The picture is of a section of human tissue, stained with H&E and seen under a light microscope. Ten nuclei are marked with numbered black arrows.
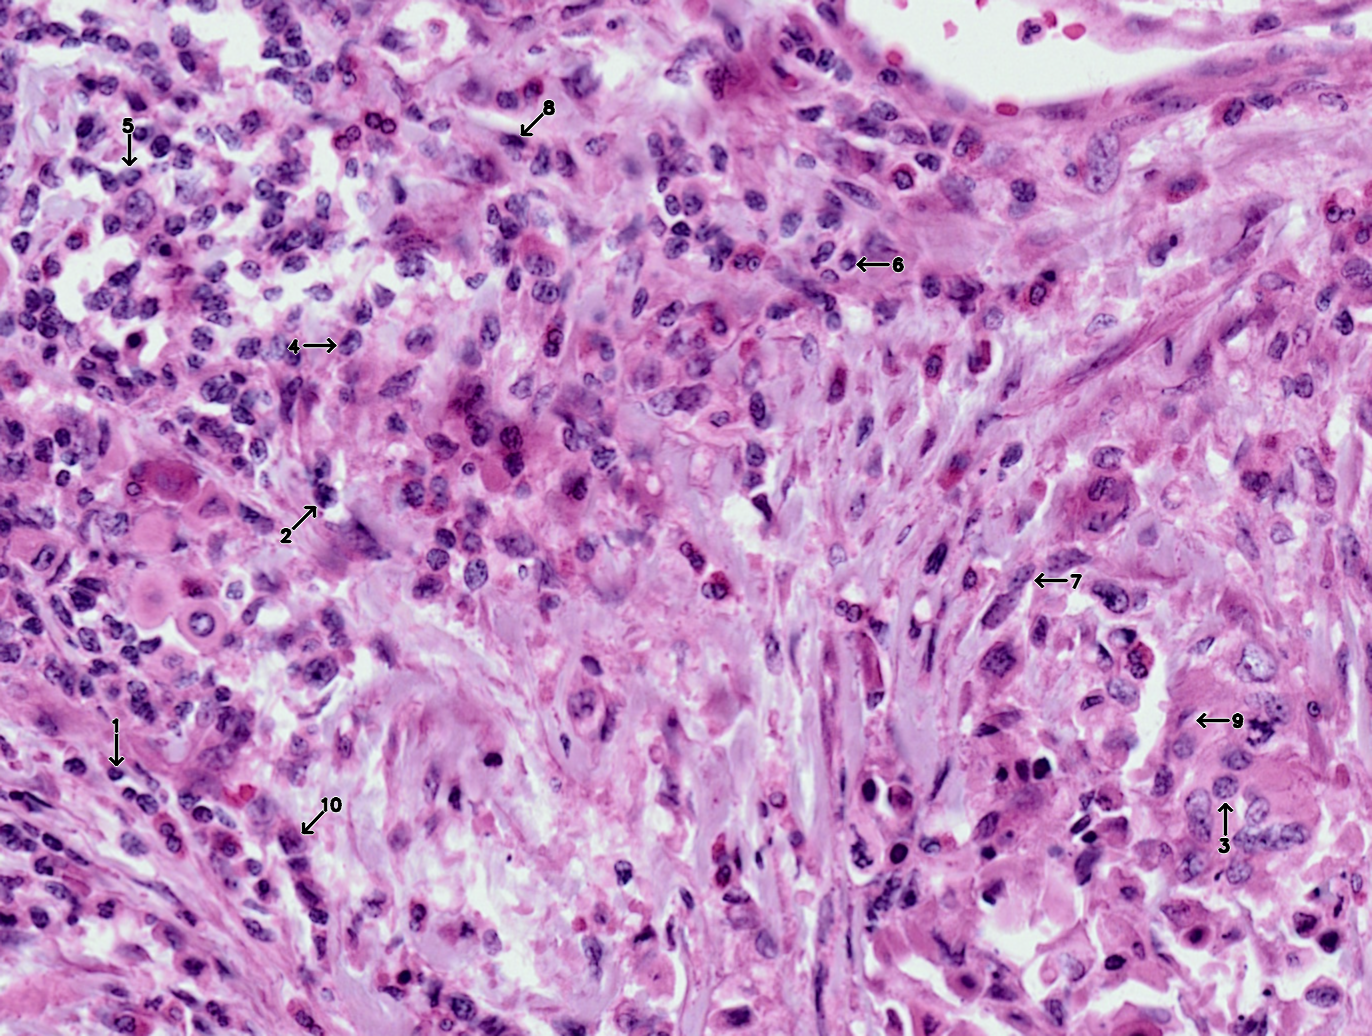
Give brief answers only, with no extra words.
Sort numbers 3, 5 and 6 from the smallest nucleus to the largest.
6, 5, 3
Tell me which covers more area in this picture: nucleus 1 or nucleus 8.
8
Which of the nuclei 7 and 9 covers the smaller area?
9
